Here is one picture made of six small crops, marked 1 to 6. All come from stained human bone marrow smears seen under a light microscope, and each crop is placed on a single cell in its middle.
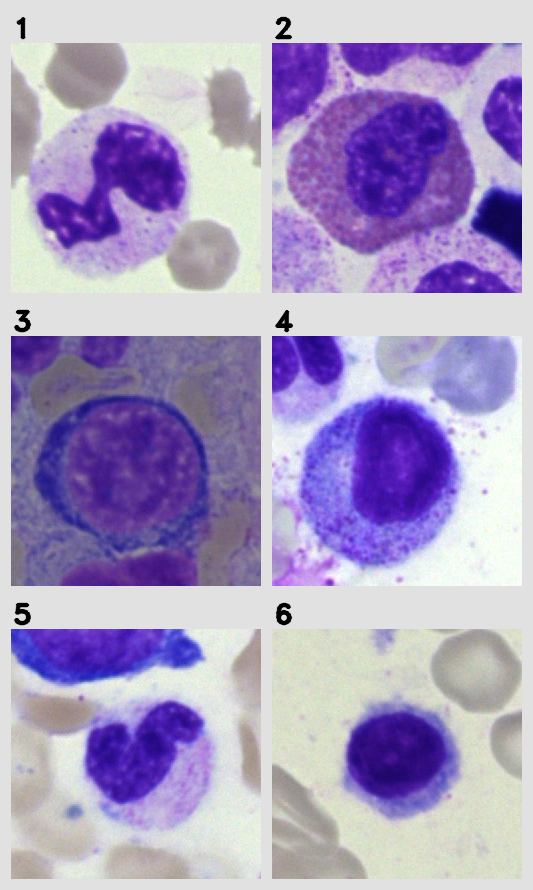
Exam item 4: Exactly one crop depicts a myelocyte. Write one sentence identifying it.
Of these crops, it is crop 4 that shows a myelocyte.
